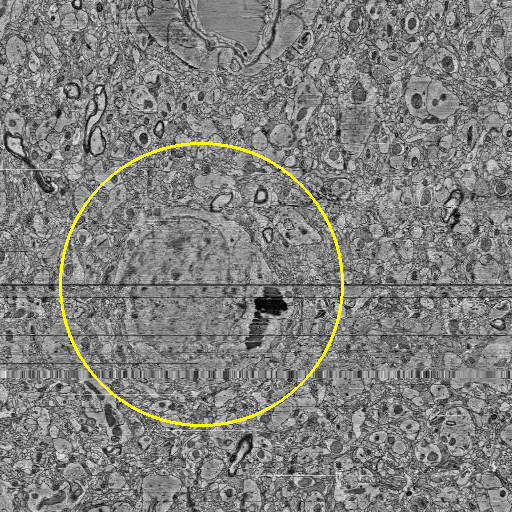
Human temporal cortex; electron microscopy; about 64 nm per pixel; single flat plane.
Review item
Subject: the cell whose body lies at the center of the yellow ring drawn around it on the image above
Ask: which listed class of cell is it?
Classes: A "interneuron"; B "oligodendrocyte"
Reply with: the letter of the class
A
